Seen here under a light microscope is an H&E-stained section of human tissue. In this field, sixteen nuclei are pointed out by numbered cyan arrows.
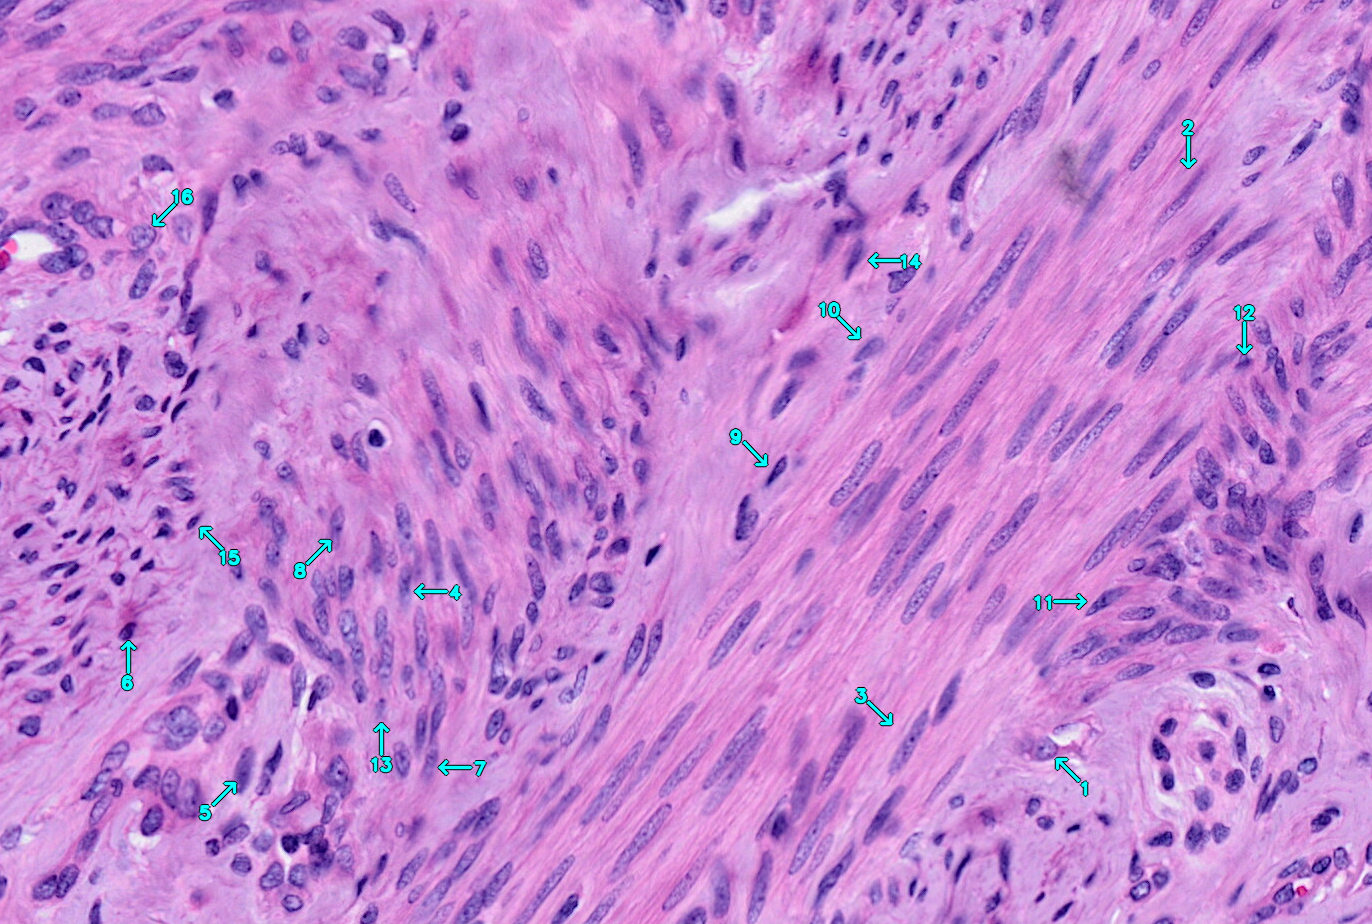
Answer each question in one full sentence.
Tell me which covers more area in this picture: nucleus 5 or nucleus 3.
Number 3 is larger; its area is about 1.5 times that of number 5.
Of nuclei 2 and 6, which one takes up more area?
At about 2 times the area of nucleus 6, nucleus 2 is the larger of the two.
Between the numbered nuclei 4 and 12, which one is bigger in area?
The larger nucleus is 4, at roughly 2.5 times the area of 12.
